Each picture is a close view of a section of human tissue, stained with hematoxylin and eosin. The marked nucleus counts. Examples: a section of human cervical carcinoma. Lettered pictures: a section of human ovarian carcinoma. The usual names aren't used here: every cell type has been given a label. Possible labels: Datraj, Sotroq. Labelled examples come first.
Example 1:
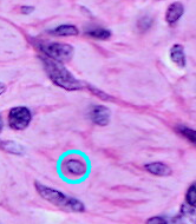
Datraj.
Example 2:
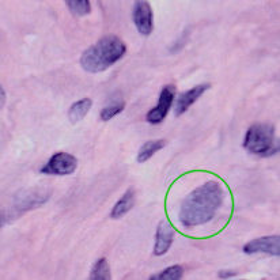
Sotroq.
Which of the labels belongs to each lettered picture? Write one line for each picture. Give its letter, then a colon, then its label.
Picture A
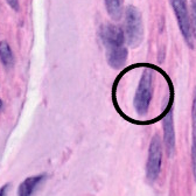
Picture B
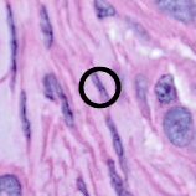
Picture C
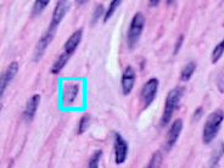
A: Datraj.
B: Sotroq.
C: Datraj.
